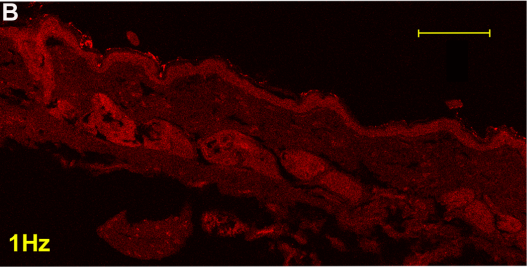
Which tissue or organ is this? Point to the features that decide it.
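Skin. A thin, wavy surface layer runs along the top of the section.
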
